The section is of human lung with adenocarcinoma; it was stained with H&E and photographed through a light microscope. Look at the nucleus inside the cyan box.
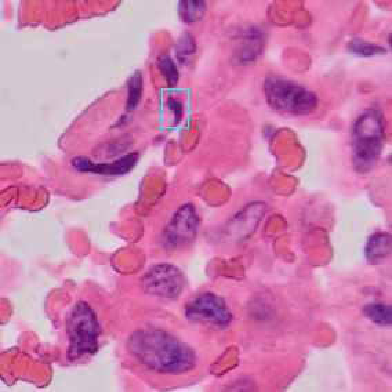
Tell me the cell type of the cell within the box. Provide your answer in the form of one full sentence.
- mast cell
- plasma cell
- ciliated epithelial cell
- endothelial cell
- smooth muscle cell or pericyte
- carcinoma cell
What the cell within the box represents is an endothelial cell.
